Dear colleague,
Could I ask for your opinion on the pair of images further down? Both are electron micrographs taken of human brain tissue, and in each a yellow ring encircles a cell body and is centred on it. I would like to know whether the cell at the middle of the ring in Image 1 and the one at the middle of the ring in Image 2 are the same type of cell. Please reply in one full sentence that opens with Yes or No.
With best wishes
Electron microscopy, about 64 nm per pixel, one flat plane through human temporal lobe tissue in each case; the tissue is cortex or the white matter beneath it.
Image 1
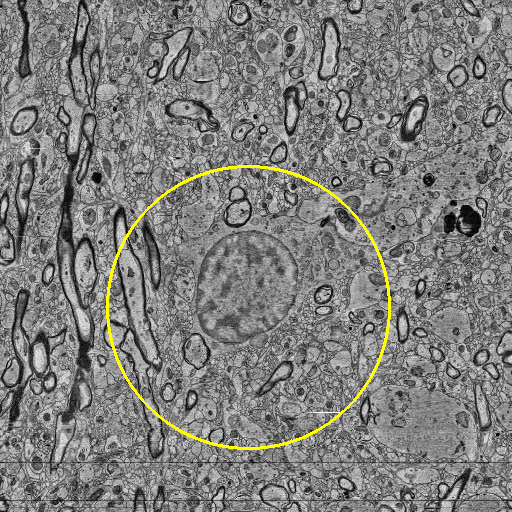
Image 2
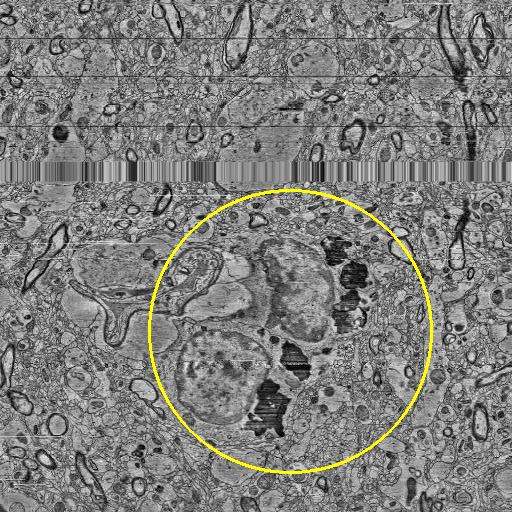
Yes, the cells at the ring centres in Image 1 and Image 2 are of one type.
